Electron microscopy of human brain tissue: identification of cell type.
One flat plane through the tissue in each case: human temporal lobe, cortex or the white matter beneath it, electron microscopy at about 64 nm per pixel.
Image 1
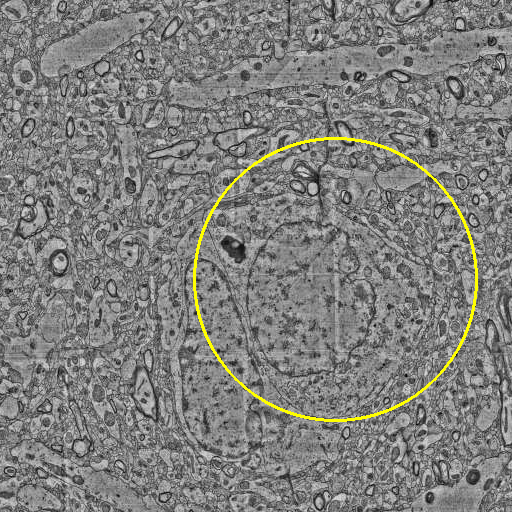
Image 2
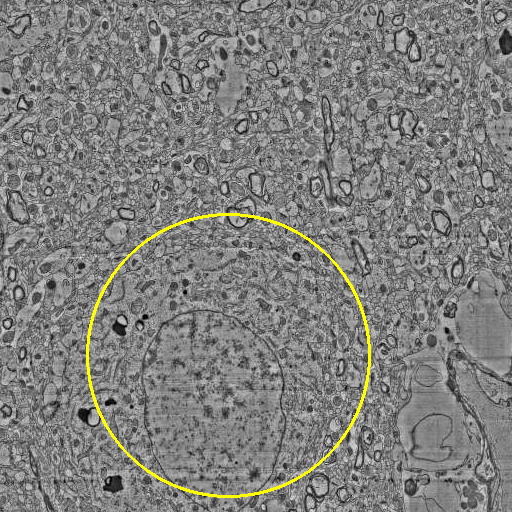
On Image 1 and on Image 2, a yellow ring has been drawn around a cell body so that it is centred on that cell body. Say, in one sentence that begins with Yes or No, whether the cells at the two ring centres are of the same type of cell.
Yes, both cells are the same type of cell.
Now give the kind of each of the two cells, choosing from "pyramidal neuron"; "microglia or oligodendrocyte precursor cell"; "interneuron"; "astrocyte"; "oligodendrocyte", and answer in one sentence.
In each of the two pictures, the ringed cell is a pyramidal neuron.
